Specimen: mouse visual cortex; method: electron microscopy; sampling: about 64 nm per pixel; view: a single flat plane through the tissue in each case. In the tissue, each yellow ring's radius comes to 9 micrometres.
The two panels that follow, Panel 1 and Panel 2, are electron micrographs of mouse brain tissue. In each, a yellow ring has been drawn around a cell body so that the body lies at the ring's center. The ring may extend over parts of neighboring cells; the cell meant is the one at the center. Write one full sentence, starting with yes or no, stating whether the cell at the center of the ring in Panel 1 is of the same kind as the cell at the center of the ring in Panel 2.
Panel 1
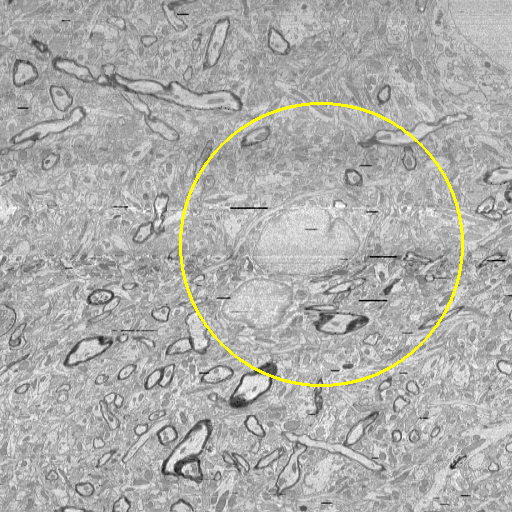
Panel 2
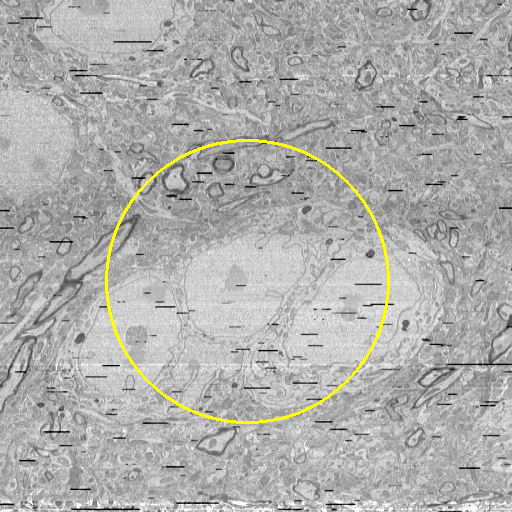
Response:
No, the cells in the two panels are of two kinds.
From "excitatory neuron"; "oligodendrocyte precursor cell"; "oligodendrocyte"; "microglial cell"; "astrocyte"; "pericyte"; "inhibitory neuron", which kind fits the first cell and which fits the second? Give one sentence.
The cell marked in the first picture is an astrocyte, and the one marked in the second is an excitatory neuron.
